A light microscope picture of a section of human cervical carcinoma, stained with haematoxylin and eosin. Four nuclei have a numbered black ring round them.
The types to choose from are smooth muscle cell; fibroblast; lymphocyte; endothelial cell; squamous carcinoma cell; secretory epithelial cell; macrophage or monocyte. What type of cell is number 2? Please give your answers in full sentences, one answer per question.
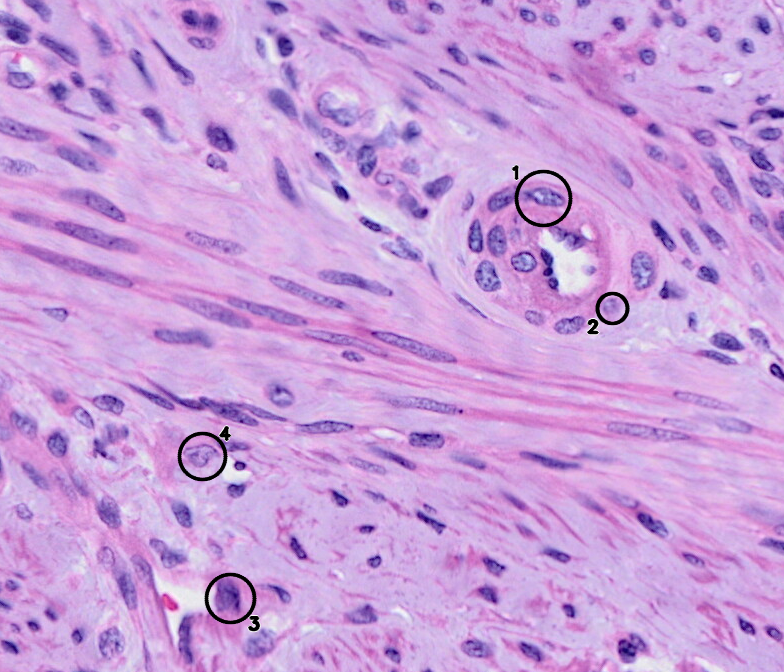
The marked cell bearing number 2 is a smooth muscle cell.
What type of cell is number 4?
The cell carrying label 4 is identified as an endothelial cell.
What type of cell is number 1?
As for number 1, that cell is a smooth muscle cell.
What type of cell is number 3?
The marked cell with the number 3 is recognised as an endothelial cell.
